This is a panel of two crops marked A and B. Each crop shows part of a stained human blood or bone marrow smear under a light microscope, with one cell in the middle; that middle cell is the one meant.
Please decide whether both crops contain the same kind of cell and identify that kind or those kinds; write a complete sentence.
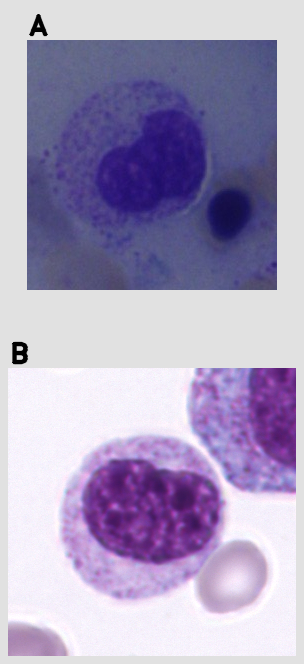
Yes, these two crops both show metamyelocytes.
